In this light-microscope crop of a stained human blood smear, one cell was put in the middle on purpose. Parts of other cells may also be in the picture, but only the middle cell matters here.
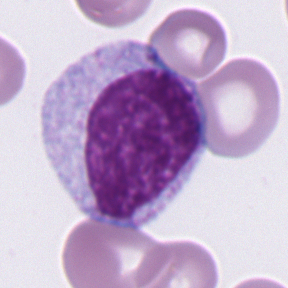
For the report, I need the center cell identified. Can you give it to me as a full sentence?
The central cell shown in this smear crop is a myelocyte.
